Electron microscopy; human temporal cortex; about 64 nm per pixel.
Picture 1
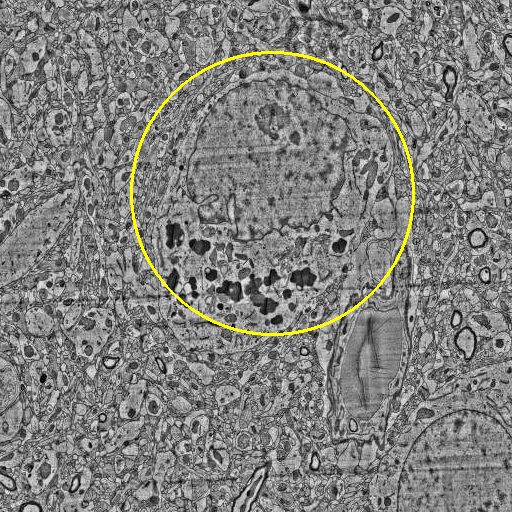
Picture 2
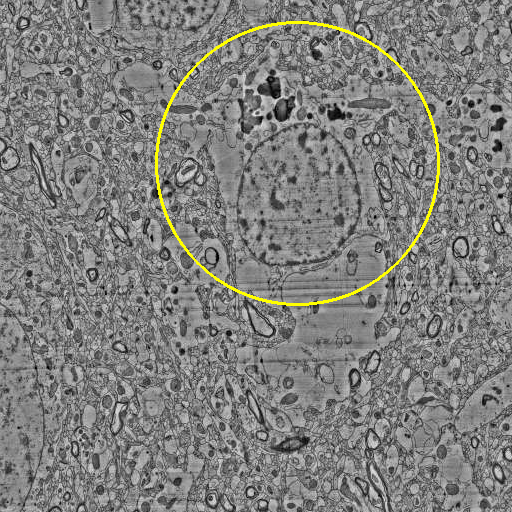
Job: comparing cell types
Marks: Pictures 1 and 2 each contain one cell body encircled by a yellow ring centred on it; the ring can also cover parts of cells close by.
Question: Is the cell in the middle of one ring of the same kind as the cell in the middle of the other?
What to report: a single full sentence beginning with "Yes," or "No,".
No, the cell at the ring centre in Picture 1 and its partner in Picture 2 are of two kinds.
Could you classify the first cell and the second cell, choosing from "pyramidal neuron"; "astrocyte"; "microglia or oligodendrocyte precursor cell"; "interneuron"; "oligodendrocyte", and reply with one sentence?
The second cell is an astrocyte, while the first is an interneuron.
